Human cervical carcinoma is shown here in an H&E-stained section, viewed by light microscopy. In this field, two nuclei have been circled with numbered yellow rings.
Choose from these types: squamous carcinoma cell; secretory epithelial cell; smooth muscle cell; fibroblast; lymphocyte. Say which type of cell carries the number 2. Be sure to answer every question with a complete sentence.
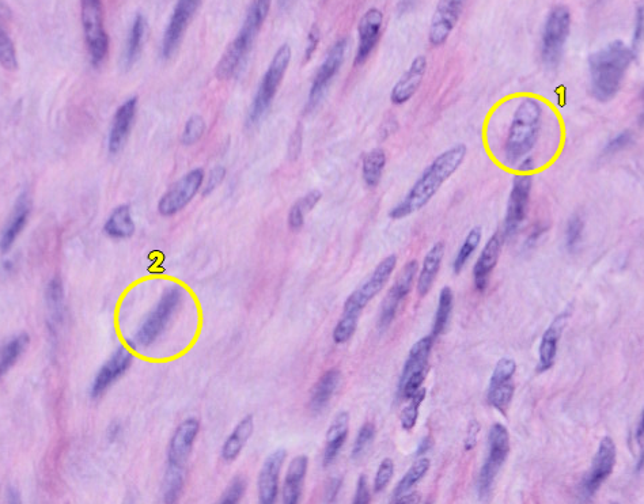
The one labeled 2 is a fibroblast, to put it simply.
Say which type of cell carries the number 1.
Nucleus 1 in this section belongs to a smooth muscle cell.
